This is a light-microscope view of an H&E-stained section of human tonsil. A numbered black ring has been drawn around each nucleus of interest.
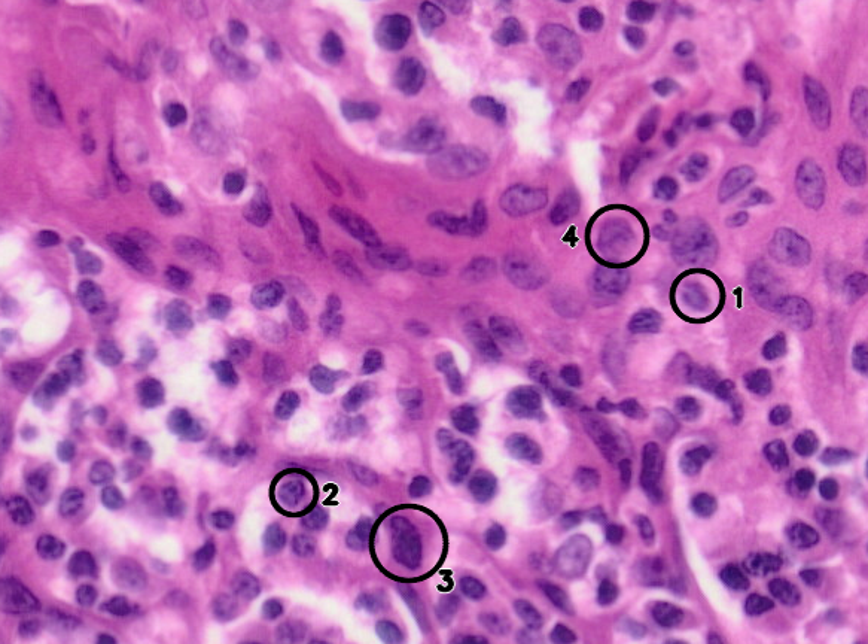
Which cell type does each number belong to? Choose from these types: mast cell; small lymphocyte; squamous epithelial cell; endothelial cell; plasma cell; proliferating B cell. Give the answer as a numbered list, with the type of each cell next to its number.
1. squamous epithelial cell
2. plasma cell
3. squamous epithelial cell
4. squamous epithelial cell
